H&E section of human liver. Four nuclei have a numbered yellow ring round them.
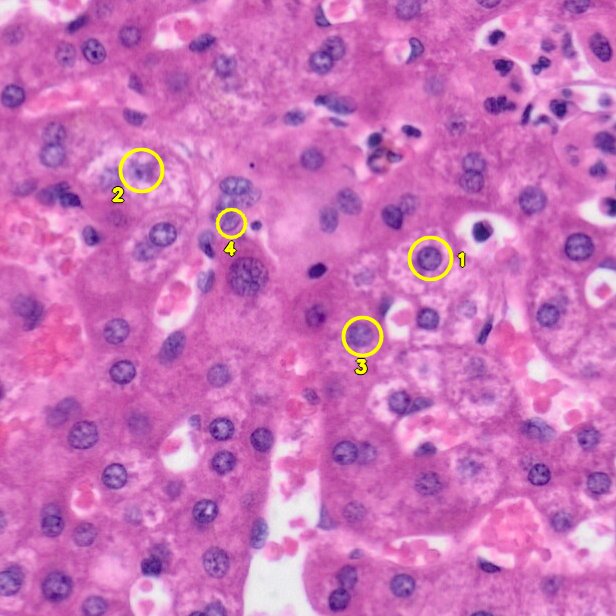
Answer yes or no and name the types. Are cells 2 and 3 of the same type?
Yes, just like cell 2, cell 3 is one of the hepatocytes.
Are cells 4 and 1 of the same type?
No, with respect, cell 4 is a cholangiocyte and cell 1 is a hepatocyte.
